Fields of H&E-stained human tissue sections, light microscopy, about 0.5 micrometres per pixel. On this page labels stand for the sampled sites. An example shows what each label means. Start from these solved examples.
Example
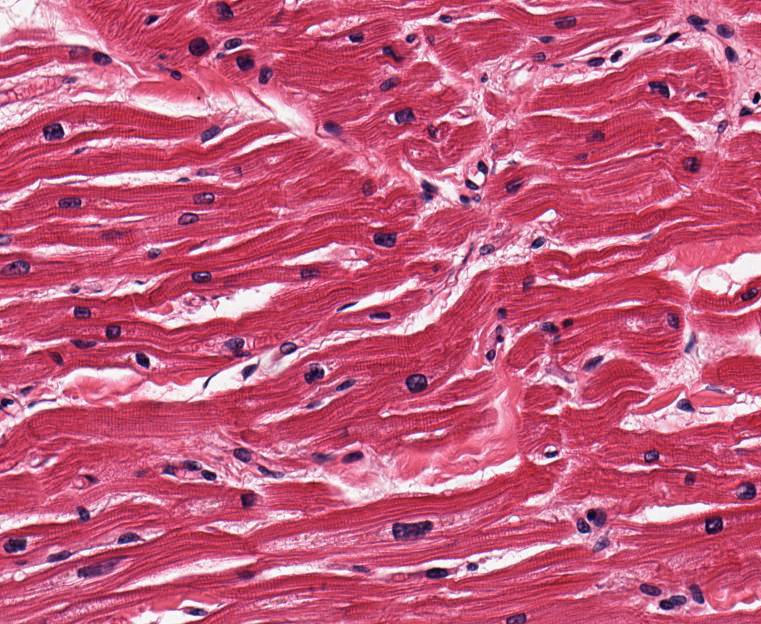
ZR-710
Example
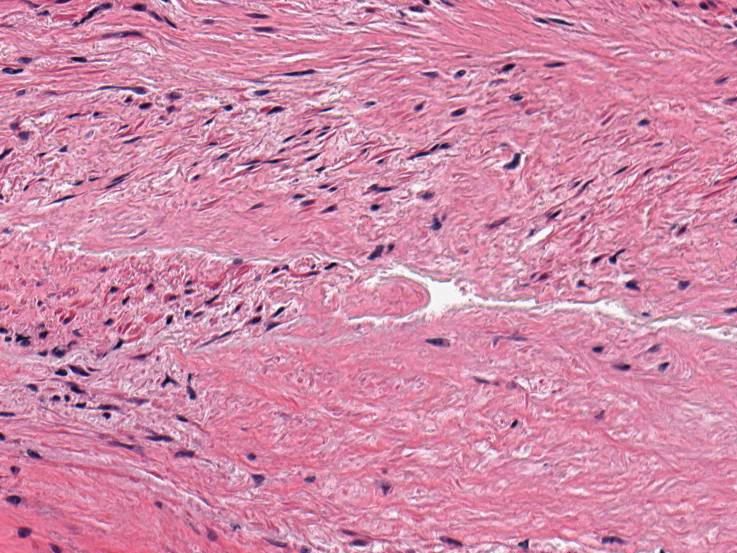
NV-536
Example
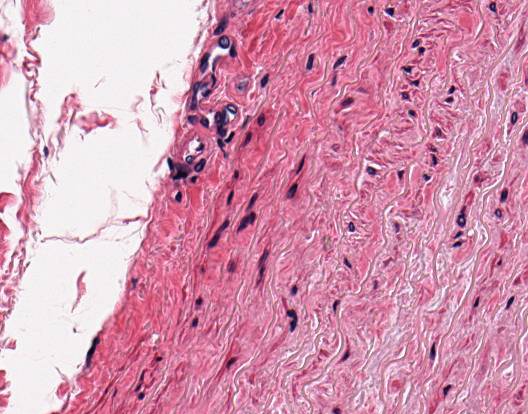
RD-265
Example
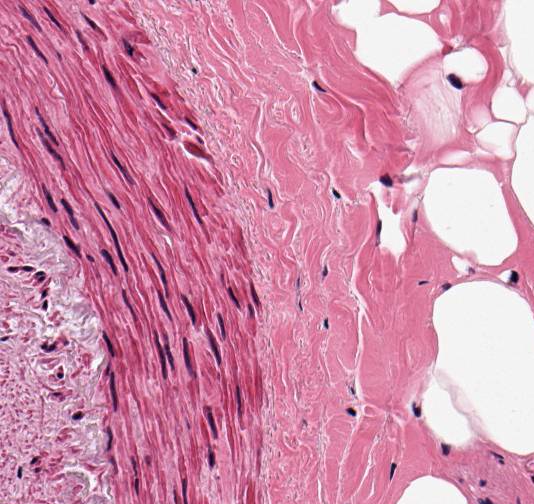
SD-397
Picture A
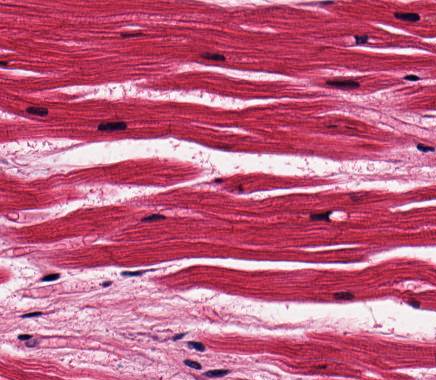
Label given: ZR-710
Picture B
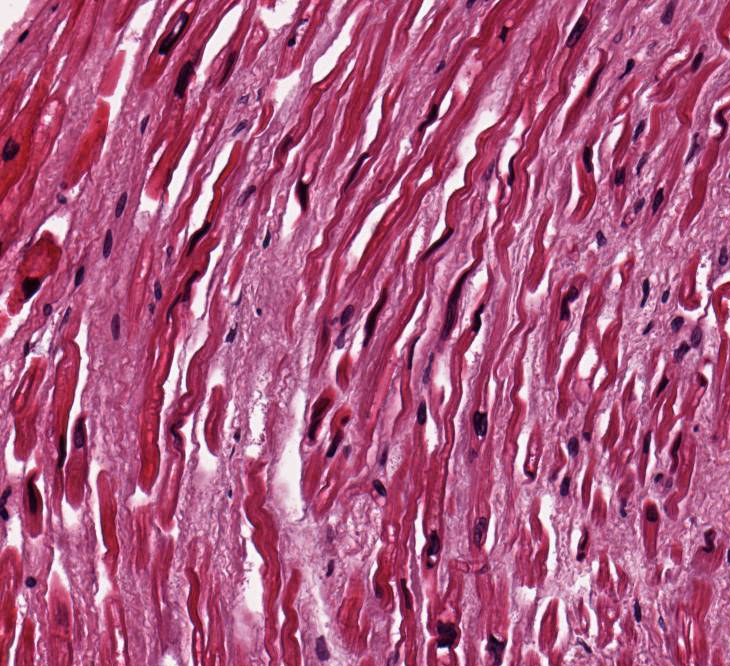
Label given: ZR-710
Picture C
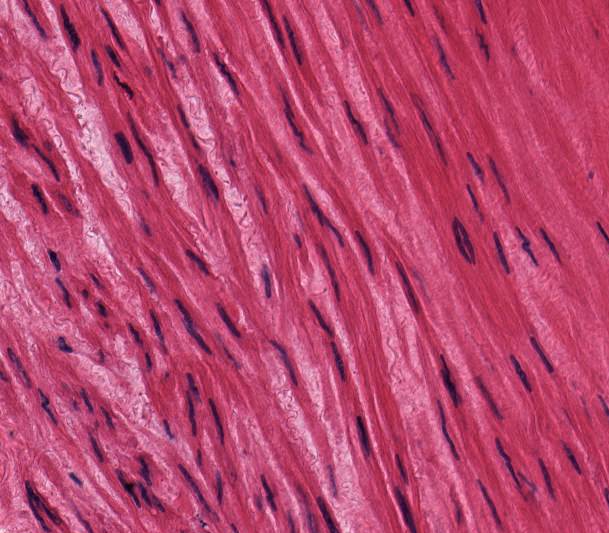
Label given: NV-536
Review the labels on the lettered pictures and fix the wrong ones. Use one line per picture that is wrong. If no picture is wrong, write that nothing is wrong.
No label is wrong.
